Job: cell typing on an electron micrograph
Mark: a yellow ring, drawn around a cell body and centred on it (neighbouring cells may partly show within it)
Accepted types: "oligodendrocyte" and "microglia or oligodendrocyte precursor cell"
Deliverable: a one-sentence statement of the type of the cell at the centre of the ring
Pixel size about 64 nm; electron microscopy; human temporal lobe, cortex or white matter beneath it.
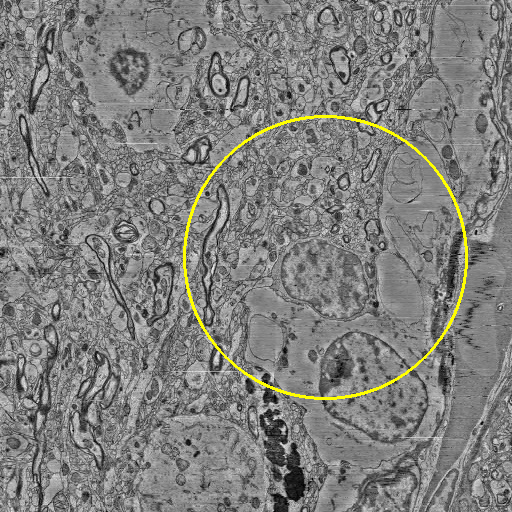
The centred cell body is that of an oligodendrocyte.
